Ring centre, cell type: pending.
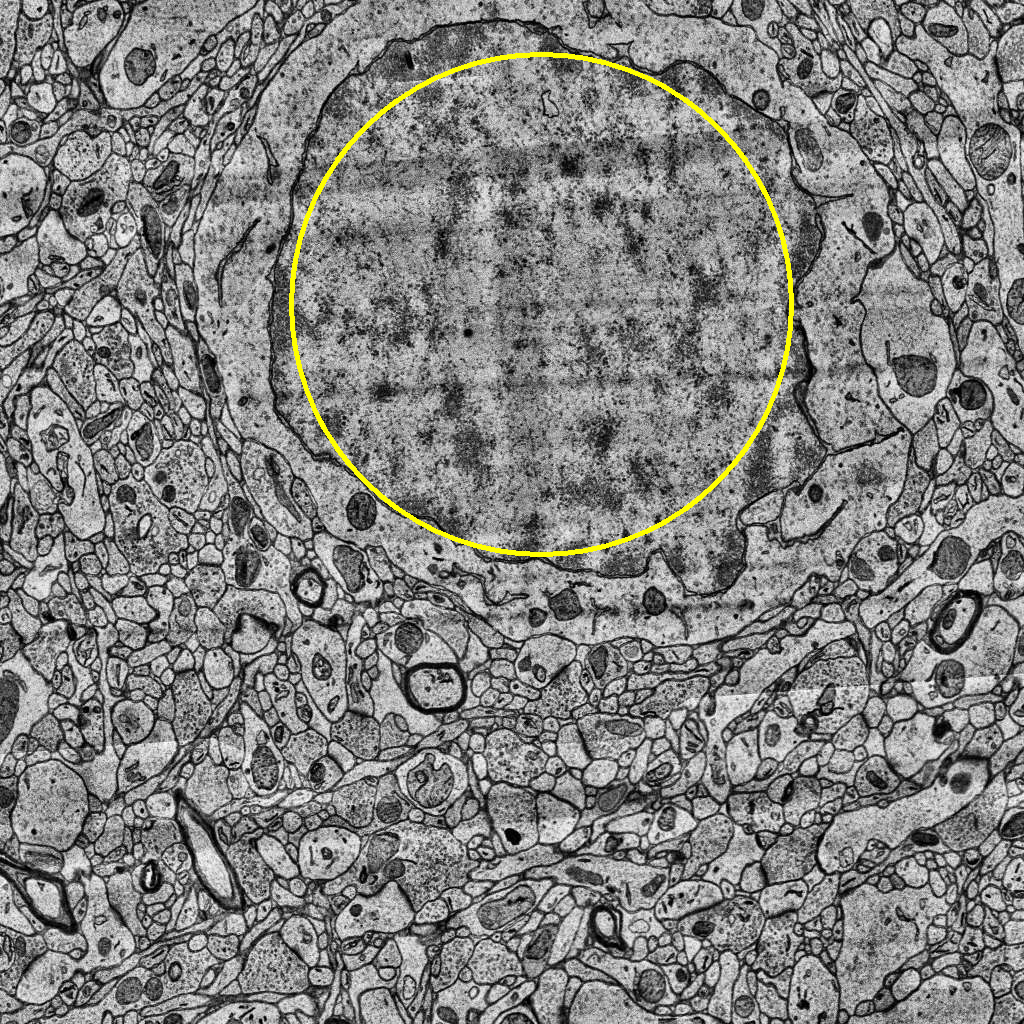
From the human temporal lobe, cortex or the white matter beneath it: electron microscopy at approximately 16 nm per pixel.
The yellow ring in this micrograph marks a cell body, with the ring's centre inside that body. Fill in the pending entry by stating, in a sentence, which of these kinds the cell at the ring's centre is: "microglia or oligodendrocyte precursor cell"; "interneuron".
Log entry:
The cell at the ring's centre is recorded as an interneuron.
